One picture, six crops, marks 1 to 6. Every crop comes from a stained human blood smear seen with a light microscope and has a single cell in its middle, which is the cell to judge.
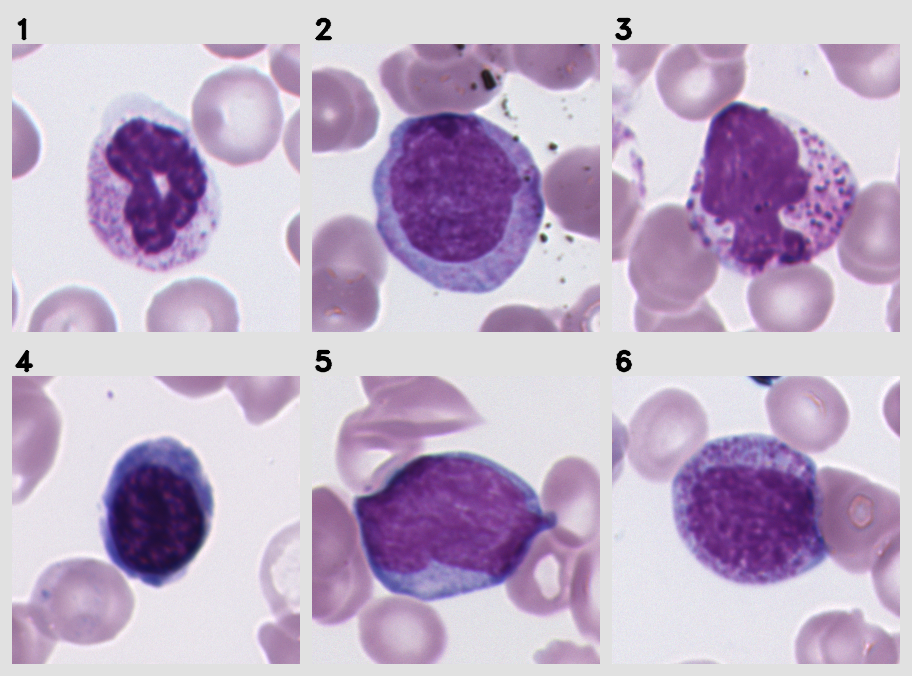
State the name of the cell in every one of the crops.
1: segmented neutrophil
2: atypical promyelocyte
3: basophil
4: normoblast
5: myeloblast
6: myelocyte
